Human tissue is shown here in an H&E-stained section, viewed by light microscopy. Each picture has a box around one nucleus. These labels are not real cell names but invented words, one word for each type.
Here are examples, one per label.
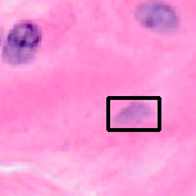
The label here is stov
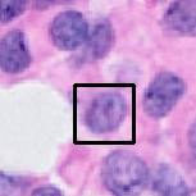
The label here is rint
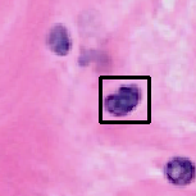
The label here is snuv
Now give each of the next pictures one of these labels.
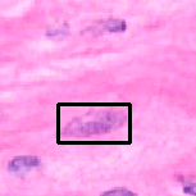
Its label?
stov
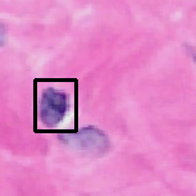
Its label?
snuv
